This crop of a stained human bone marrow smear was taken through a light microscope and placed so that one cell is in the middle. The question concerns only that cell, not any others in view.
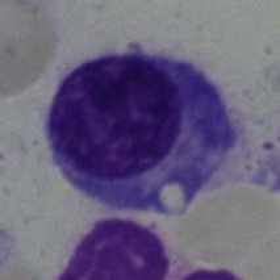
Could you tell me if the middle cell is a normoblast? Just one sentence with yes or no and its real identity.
No, it is not a normoblast that lies in the middle but a plasma cell.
